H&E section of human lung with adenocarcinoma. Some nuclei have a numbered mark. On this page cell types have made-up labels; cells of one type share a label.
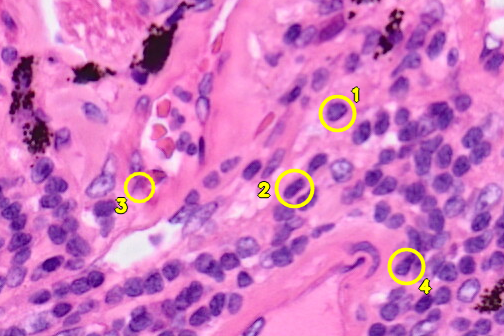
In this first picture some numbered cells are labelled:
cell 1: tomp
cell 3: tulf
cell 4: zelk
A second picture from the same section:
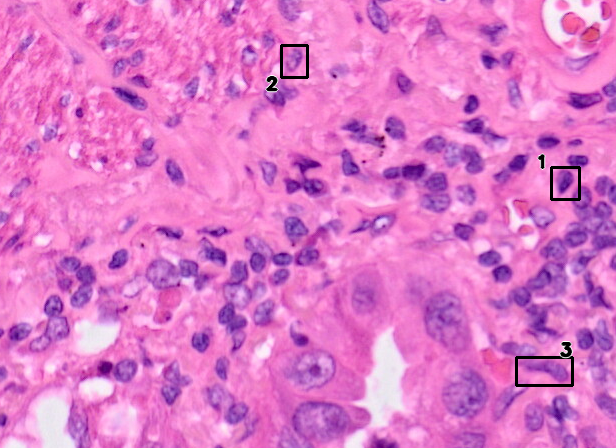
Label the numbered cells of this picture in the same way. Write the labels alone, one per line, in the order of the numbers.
zelk
tomp
tulf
